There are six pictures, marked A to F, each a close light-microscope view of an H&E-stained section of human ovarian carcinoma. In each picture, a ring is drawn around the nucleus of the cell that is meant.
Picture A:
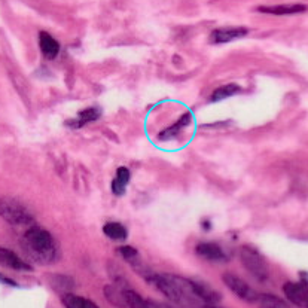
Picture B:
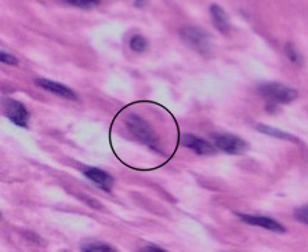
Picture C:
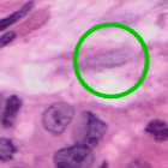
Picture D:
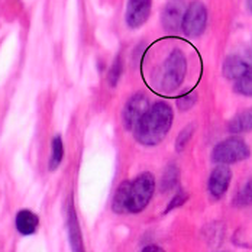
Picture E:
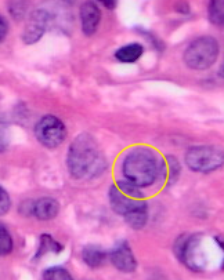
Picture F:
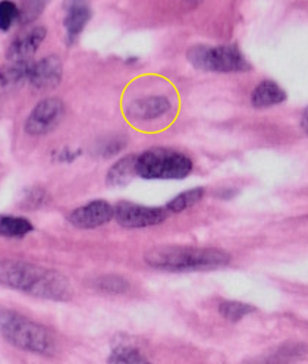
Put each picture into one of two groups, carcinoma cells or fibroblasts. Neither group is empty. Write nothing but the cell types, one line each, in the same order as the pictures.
fibroblast
fibroblast
fibroblast
carcinoma cell
carcinoma cell
fibroblast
